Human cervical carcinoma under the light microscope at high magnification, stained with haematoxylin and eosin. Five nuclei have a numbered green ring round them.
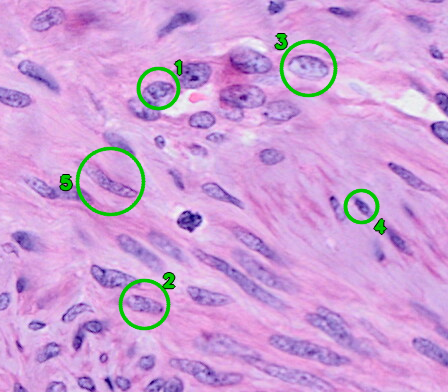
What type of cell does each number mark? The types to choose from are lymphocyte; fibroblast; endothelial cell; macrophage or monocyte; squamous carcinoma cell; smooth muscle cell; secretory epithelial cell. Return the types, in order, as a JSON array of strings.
["endothelial cell", "smooth muscle cell", "endothelial cell", "fibroblast", "smooth muscle cell"]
